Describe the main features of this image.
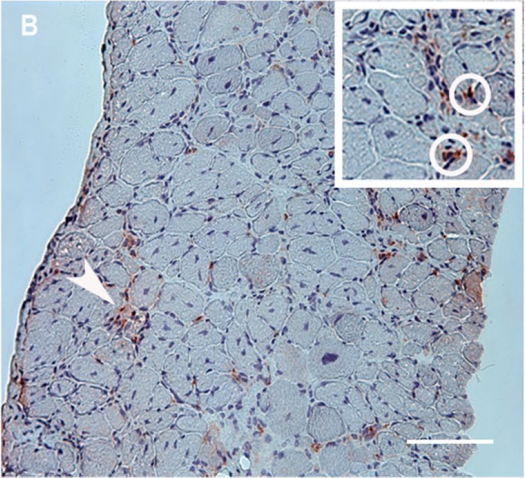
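The fibres are cut across as pale grey-blue polygonal profiles of varied size, closely packed, with blue nuclei along their margins. The section's outer surface runs along the left side. Small brownish-red cells with blue nuclei occur singly or in small groups in the narrow spaces between fibres, with one small cluster near the left edge. The inset enlarges a few such reddish cells lying between fibres. Large patches of infiltrating cells are not seen.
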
